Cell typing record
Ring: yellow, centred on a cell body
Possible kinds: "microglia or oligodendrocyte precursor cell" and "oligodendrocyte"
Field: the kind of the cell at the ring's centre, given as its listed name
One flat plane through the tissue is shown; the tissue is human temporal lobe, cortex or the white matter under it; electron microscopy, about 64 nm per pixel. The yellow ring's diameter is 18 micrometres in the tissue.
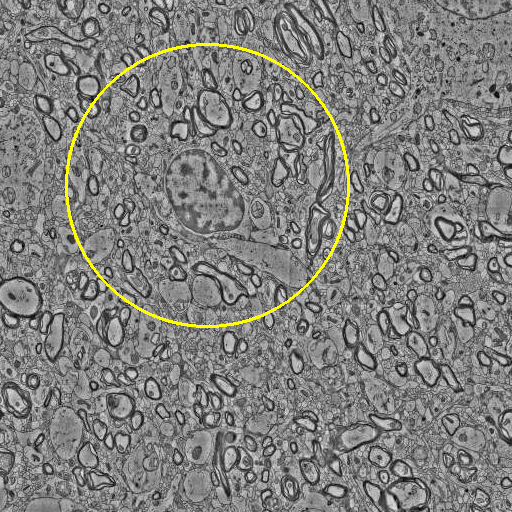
microglia or oligodendrocyte precursor cell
